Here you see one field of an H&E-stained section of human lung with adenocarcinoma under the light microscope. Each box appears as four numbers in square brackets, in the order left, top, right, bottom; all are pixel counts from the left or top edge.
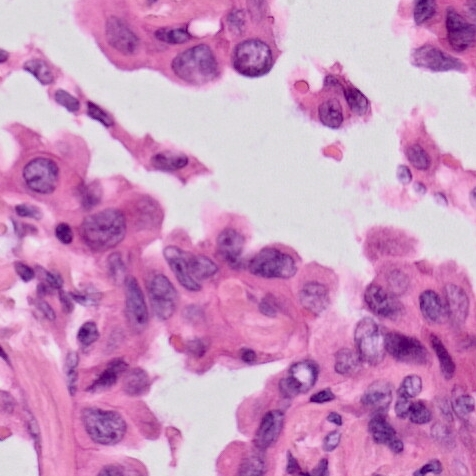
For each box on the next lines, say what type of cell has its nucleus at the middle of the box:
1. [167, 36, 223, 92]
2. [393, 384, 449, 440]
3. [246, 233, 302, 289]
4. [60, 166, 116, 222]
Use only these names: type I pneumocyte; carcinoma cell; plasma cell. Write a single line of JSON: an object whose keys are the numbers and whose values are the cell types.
{"1": "carcinoma cell", "2": "plasma cell", "3": "carcinoma cell", "4": "carcinoma cell"}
